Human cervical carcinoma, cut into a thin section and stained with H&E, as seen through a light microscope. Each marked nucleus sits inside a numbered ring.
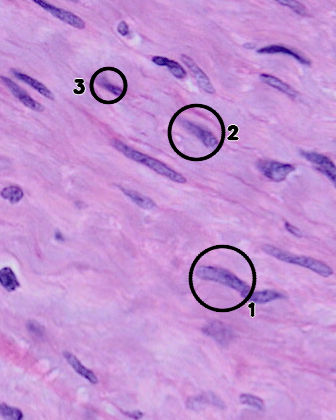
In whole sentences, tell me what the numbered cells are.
Cell 1 is a fibroblast, cell 2 is a smooth muscle cell and cell 3 is a smooth muscle cell.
